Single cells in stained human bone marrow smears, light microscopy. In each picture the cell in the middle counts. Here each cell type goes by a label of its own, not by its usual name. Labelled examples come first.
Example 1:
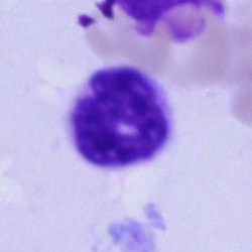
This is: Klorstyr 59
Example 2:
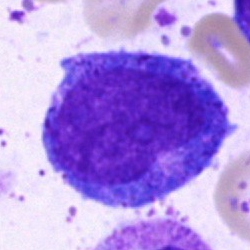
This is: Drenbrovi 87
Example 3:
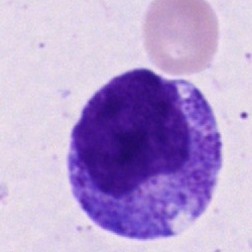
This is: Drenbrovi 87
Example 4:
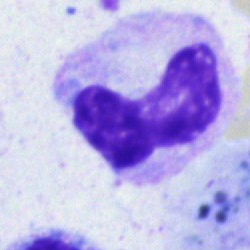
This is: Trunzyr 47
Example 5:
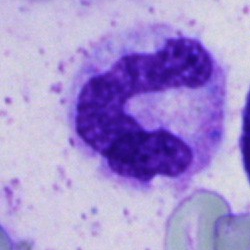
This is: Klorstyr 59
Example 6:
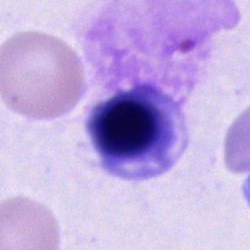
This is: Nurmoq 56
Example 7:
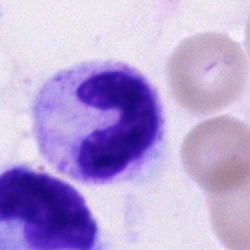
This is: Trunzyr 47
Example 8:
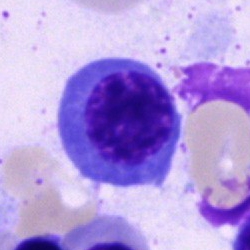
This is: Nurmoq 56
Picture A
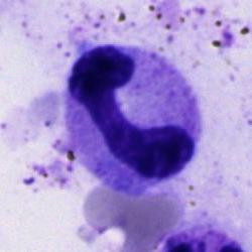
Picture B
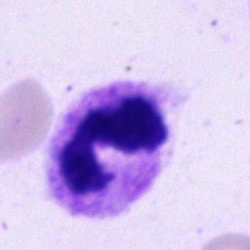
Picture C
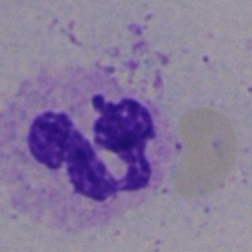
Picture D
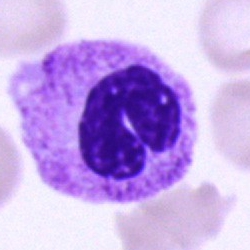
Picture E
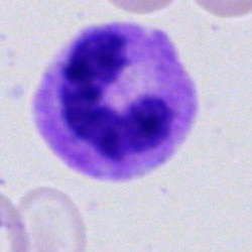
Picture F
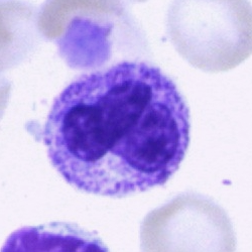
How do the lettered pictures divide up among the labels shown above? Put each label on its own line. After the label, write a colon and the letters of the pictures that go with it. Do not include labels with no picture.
Klorstyr 59: B, C, D, E
Trunzyr 47: A, F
